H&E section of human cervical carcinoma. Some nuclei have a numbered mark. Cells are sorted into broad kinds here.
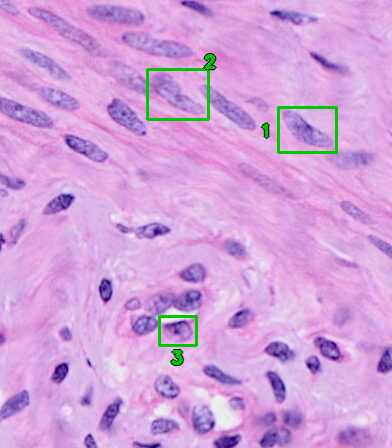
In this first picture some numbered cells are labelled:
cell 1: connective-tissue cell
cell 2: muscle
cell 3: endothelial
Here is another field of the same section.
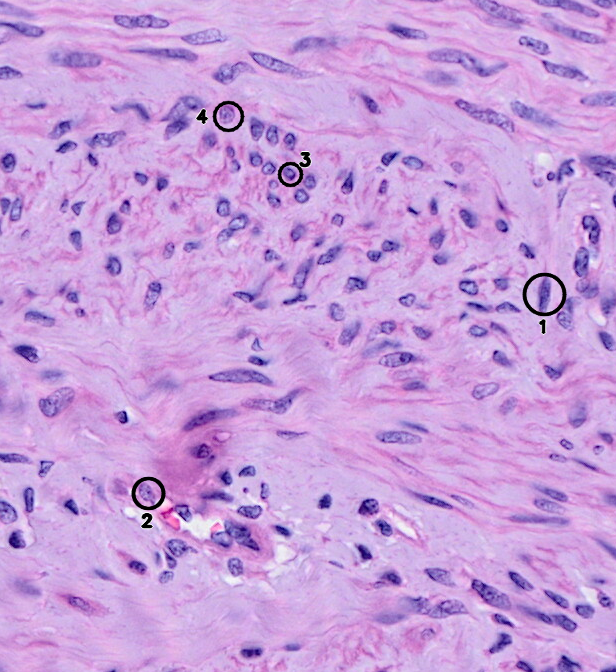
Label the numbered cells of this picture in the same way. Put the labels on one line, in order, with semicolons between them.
connective-tissue cell; endothelial; muscle; muscle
